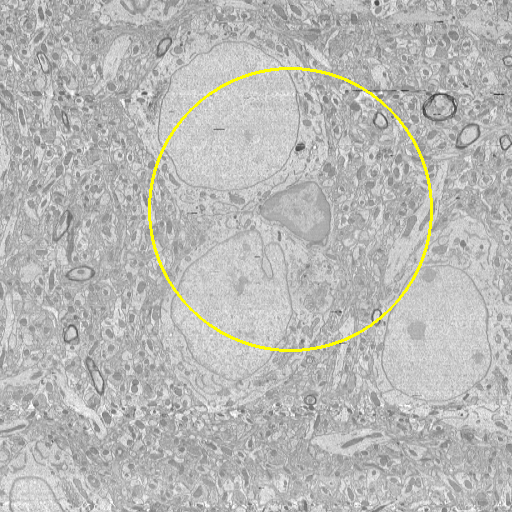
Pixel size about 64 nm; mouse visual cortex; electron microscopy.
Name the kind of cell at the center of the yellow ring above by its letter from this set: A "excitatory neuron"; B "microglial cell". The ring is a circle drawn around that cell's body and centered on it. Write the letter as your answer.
B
